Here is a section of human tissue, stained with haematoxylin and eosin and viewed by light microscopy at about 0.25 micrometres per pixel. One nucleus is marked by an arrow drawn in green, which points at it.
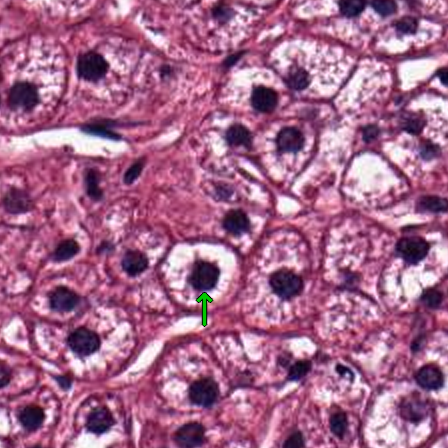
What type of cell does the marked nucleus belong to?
adrenal cortical cell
